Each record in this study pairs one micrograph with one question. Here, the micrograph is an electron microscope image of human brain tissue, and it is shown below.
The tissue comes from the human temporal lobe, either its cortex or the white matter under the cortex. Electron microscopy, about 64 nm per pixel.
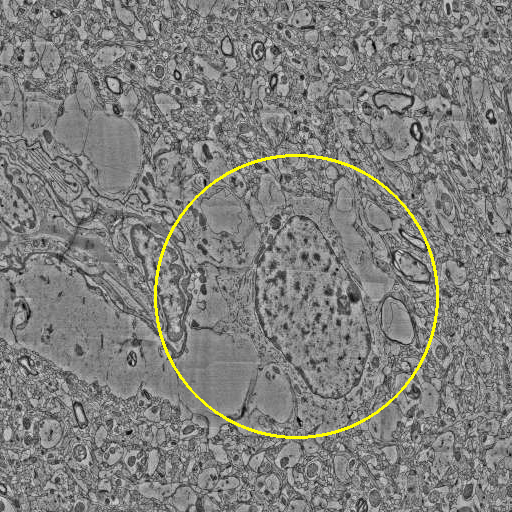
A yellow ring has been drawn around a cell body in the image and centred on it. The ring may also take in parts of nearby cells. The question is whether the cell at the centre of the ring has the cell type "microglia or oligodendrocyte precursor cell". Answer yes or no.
yes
